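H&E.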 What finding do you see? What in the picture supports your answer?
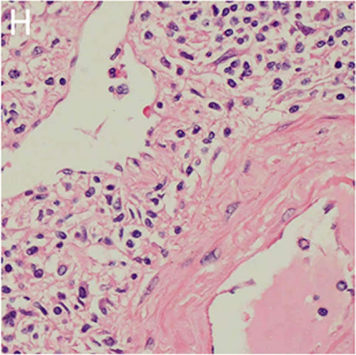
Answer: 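Phlebitis. An open vessel-like lumen with pink contents. Inflammatory cells crowd the wall around the lumen.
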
